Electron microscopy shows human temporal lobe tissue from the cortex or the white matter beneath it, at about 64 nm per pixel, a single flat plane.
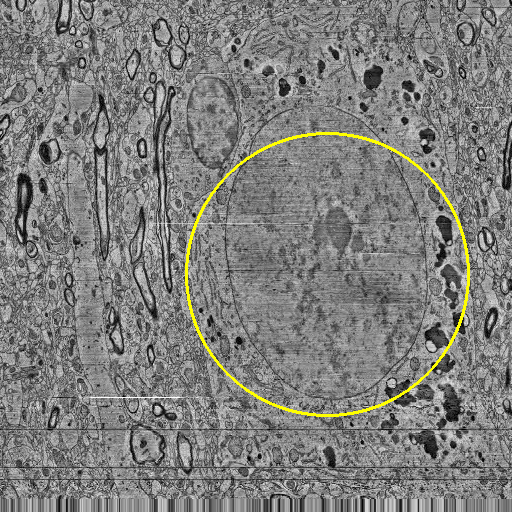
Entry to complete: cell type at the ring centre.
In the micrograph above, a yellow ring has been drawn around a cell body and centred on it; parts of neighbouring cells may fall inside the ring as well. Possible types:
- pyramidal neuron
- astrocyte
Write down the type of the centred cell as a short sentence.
The ring is centred on a pyramidal neuron.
